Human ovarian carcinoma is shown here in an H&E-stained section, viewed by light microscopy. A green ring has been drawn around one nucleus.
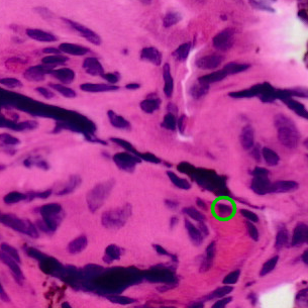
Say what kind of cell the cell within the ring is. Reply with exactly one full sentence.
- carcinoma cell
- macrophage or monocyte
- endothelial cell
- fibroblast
In this field of tissue, the cell within the ring is an endothelial cell.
